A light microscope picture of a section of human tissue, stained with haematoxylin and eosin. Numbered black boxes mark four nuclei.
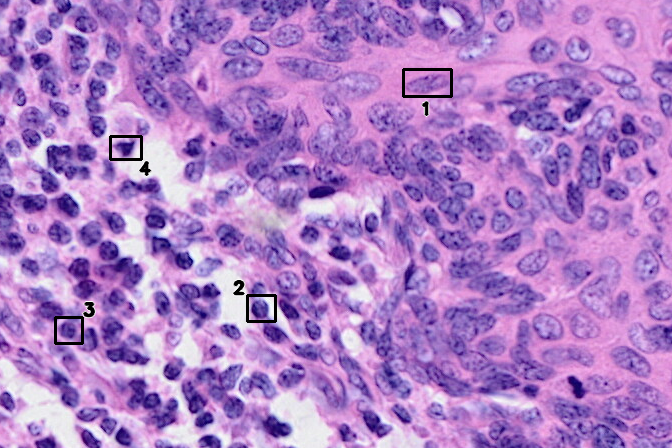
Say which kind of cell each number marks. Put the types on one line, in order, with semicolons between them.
squamous carcinoma cell; lymphocyte; lymphocyte; lymphocyte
